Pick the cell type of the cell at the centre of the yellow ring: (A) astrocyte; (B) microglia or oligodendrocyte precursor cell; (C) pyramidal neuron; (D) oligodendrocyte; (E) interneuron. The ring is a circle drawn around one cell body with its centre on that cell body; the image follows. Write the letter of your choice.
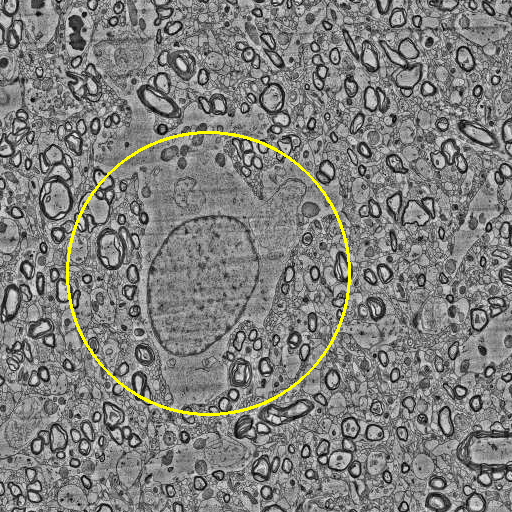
A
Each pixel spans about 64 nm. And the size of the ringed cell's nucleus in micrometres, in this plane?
The ringed cell's nucleus is about 10 micrometres long and 7 micrometres wide in this plane.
